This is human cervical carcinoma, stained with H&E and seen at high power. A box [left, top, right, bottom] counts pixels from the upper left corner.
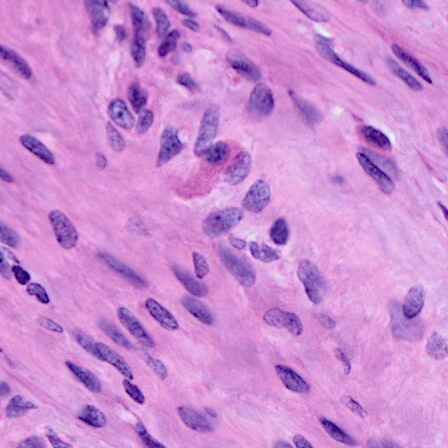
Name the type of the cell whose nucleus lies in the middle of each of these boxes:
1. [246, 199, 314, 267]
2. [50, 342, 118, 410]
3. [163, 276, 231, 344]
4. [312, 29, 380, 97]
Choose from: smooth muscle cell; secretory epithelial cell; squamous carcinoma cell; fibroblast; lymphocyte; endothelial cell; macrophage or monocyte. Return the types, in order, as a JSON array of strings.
["lymphocyte", "fibroblast", "fibroblast", "fibroblast"]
